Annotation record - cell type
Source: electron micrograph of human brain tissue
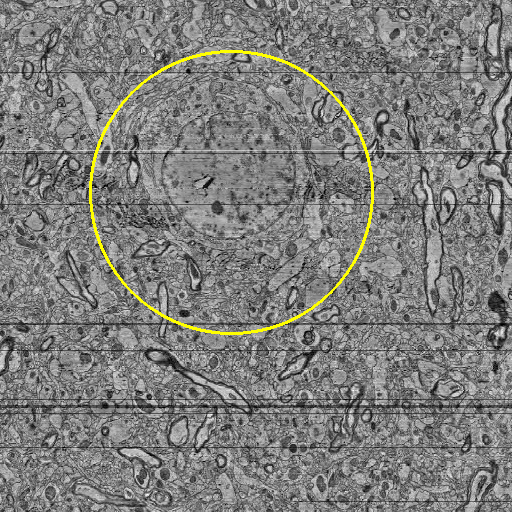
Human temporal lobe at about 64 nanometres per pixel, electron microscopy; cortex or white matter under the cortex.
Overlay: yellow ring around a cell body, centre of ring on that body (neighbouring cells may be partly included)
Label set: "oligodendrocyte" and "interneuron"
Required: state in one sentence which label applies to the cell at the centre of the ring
This cell should be labelled as an interneuron.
